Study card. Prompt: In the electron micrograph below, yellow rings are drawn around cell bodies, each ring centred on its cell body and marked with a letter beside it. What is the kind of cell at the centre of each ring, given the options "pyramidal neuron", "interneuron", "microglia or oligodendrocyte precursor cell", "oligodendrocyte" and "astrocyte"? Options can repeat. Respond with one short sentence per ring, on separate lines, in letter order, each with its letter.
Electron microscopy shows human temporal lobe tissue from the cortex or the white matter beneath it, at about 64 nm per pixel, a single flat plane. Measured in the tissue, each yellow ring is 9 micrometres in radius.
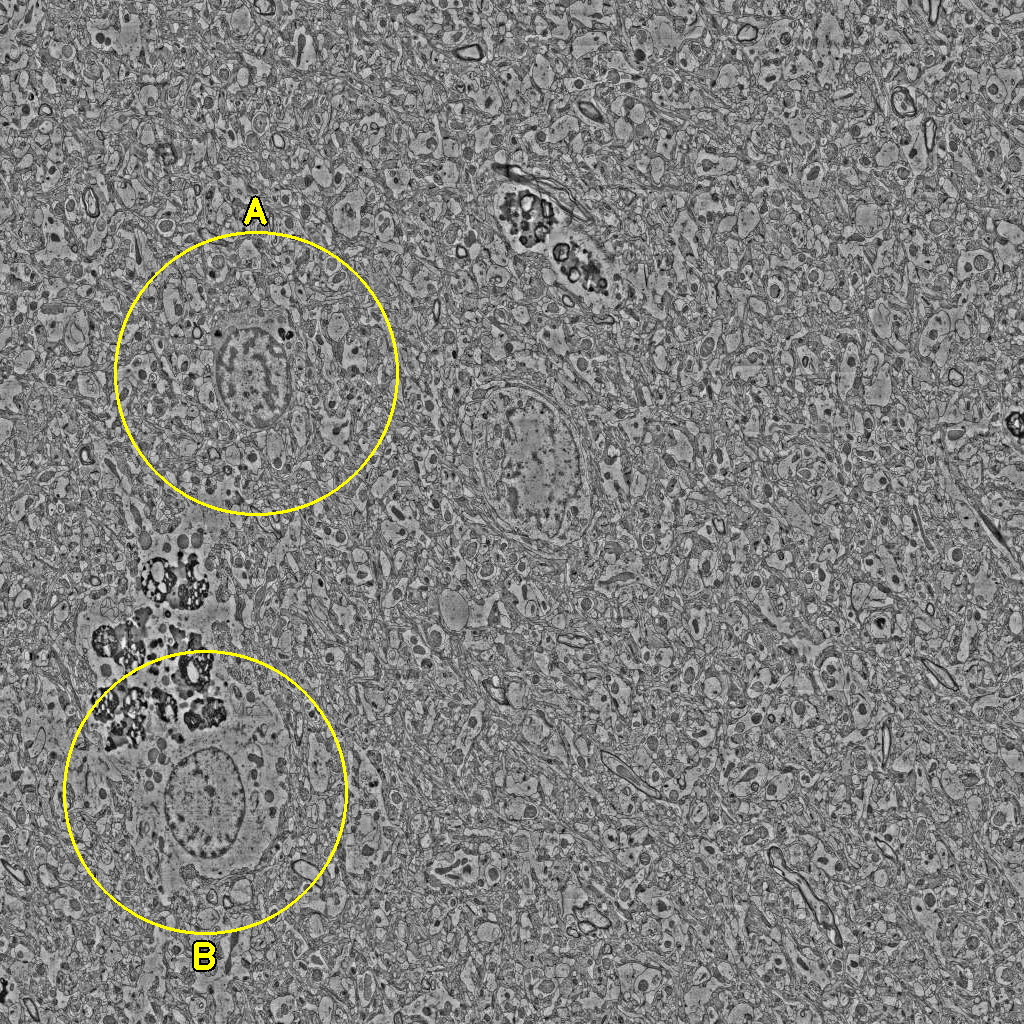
Ring A outlines an oligodendrocyte.
Ring B outlines an astrocyte.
